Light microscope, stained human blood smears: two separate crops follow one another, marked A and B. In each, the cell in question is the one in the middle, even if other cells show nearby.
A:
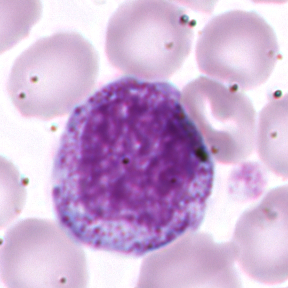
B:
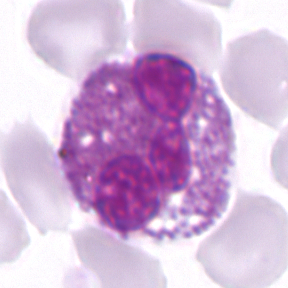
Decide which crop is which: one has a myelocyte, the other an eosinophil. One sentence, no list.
Placed in the middle of crop A is a myelocyte, and in the middle of crop B, an eosinophil.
